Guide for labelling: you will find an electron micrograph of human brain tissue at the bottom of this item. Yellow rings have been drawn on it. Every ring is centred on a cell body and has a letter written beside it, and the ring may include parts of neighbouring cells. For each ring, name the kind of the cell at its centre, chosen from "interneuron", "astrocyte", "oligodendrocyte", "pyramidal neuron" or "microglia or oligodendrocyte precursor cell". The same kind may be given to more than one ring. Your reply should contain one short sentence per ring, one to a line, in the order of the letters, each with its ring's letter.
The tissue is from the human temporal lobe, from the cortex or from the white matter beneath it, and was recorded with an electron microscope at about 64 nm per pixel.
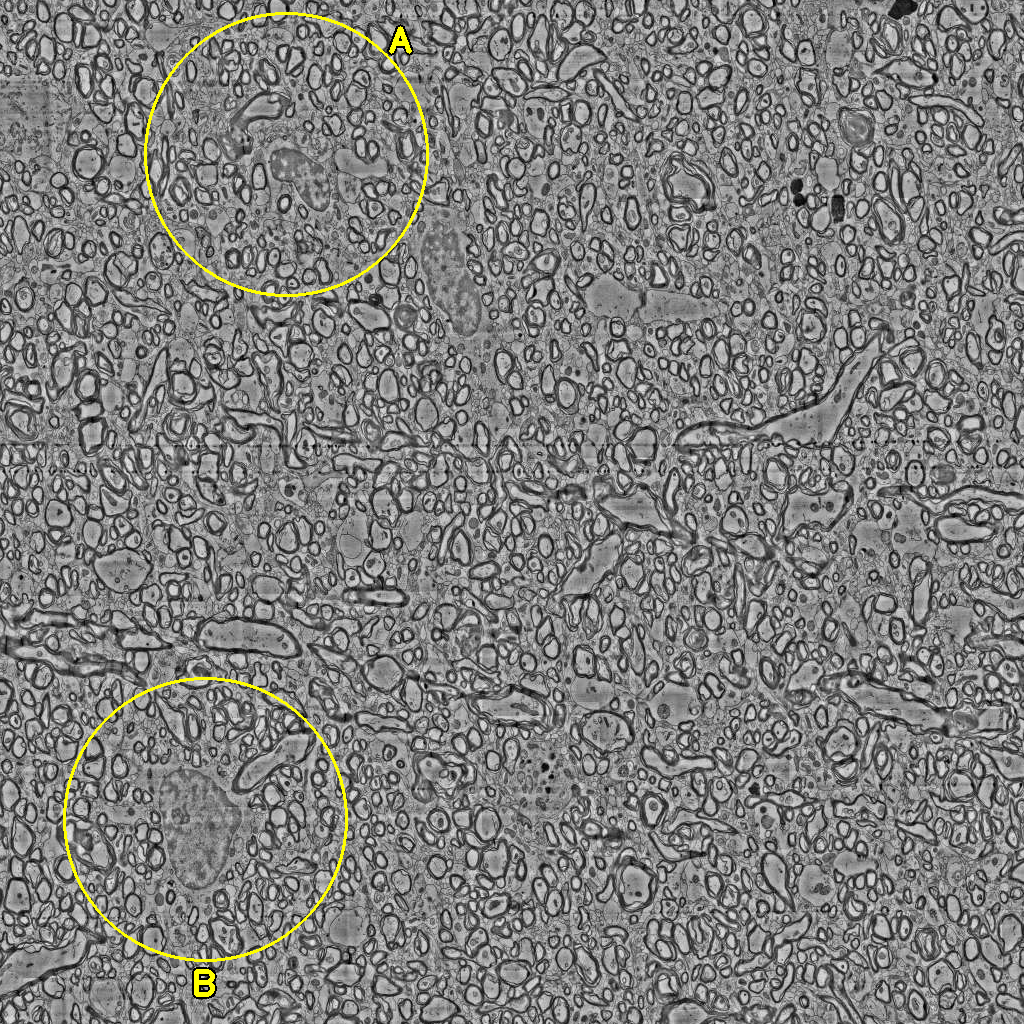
Ring A is centred on the body of a microglial cell or oligodendrocyte precursor cell.
Ring B is centred on the body of an oligodendrocyte.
